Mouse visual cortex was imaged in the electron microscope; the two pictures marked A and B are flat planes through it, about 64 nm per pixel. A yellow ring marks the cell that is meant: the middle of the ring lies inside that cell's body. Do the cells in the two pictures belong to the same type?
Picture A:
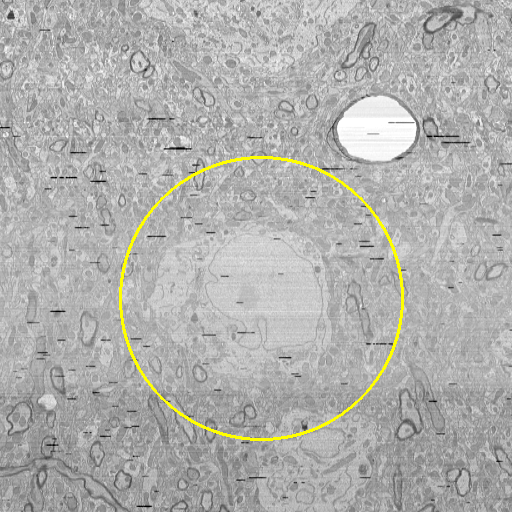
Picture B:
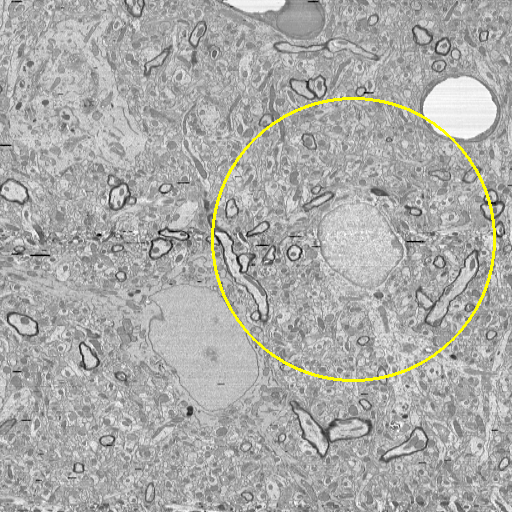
No, the types are not the same, since picture A shows an excitatory neuron and picture B an astrocyte.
